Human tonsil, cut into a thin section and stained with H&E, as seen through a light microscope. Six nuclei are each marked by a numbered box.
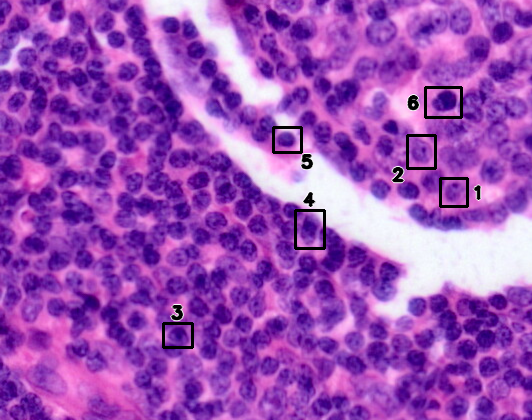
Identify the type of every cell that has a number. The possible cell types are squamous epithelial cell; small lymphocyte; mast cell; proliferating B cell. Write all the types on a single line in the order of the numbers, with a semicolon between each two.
proliferating B cell; proliferating B cell; small lymphocyte; small lymphocyte; small lymphocyte; proliferating B cell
